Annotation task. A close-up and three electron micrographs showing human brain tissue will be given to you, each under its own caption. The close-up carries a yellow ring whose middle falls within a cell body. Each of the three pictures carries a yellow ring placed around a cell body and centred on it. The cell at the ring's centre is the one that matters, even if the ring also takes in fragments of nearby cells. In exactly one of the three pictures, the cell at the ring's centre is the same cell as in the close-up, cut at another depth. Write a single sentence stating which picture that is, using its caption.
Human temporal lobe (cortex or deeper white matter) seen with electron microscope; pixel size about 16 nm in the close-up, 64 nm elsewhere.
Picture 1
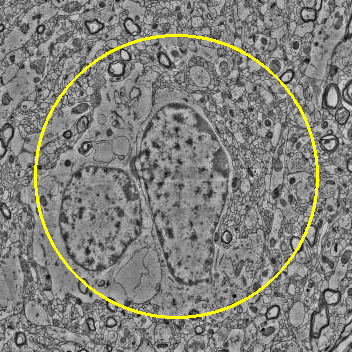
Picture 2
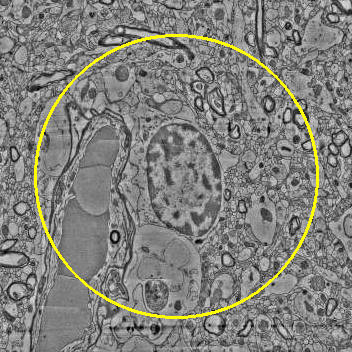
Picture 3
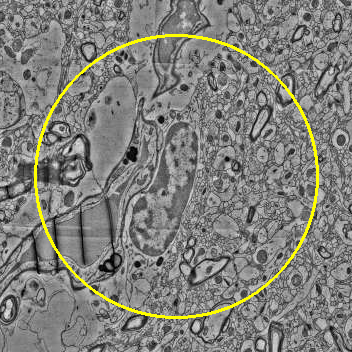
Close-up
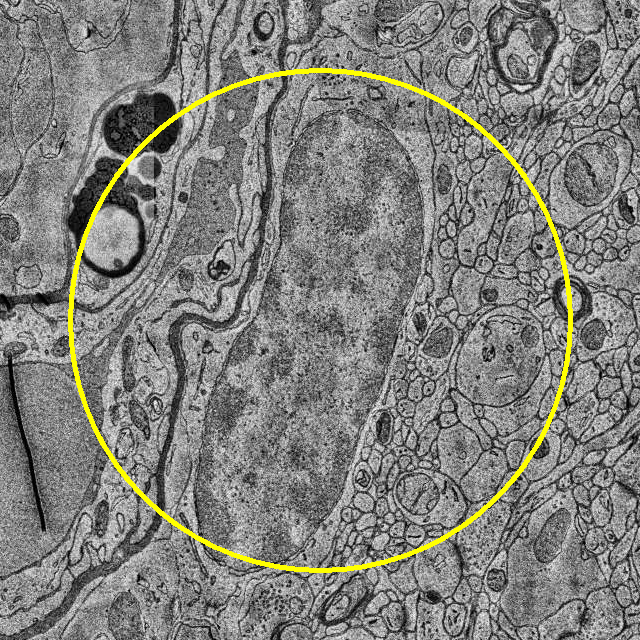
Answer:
The cell in the zoomed view is the one circled in Picture 3.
